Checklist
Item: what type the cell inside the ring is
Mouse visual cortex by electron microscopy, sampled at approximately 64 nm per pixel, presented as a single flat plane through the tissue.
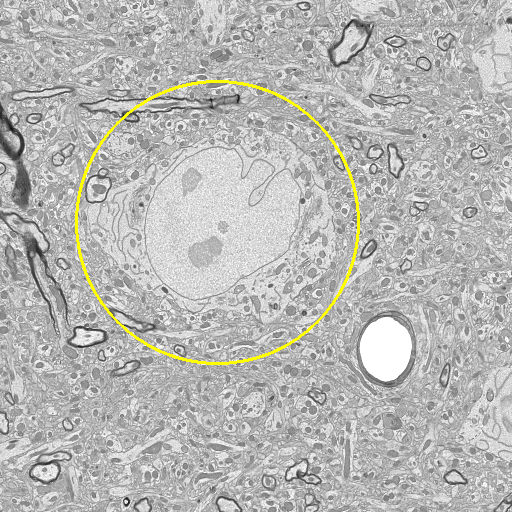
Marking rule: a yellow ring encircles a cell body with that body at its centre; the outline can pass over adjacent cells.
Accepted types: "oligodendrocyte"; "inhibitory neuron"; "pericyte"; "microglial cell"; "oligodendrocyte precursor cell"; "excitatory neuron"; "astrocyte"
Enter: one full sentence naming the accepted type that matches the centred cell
The entry is that an excitatory neuron lies at the centre of the yellow ring.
